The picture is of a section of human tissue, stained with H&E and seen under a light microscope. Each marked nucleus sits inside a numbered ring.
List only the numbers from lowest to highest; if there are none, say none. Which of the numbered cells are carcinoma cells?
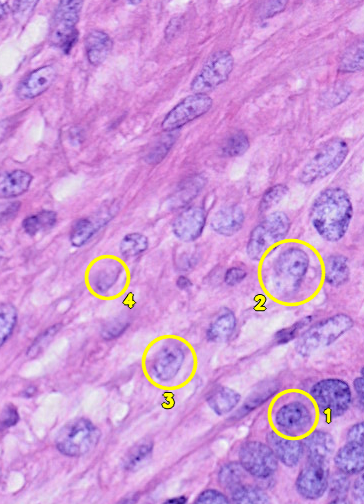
1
